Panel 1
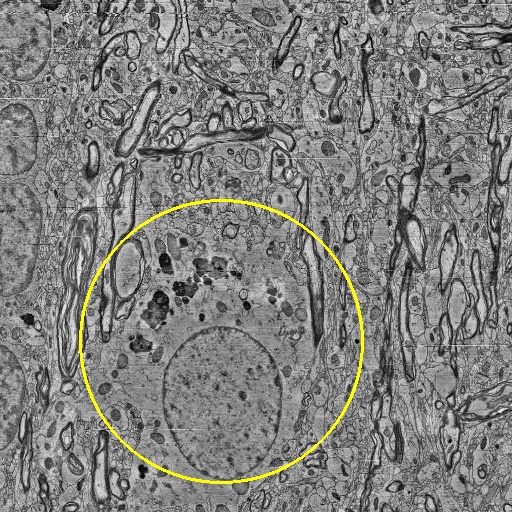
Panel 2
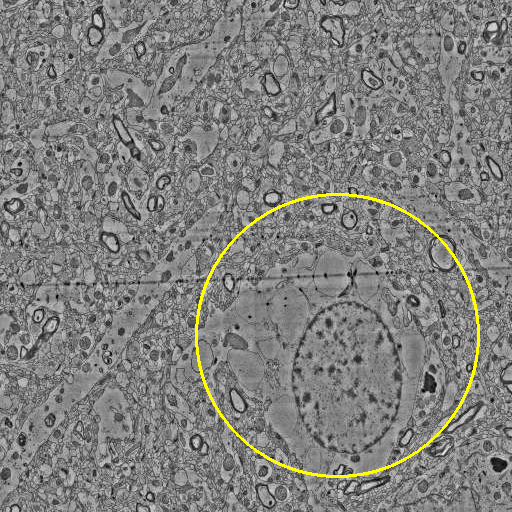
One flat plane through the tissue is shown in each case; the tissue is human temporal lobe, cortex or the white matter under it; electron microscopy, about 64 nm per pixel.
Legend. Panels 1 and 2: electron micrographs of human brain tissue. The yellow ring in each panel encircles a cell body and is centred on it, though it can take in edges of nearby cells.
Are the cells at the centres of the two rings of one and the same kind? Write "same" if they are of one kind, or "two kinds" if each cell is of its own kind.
same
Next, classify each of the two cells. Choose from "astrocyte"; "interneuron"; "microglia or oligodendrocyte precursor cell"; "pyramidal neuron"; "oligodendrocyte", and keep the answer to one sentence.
Each cell at the centre of a ring is an astrocyte.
